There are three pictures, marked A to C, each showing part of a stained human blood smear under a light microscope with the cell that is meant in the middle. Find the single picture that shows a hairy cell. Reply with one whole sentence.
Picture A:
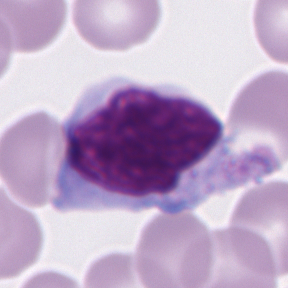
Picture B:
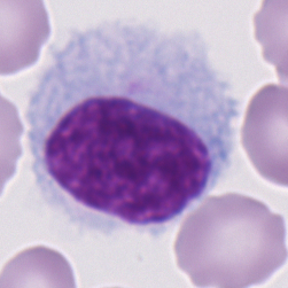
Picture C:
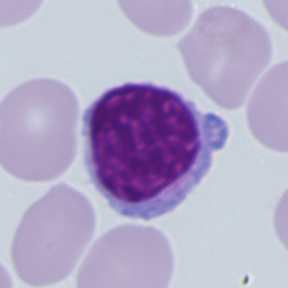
It is picture B that shows the hairy cell.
